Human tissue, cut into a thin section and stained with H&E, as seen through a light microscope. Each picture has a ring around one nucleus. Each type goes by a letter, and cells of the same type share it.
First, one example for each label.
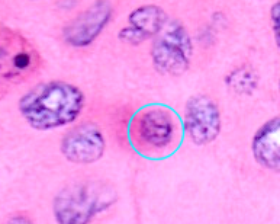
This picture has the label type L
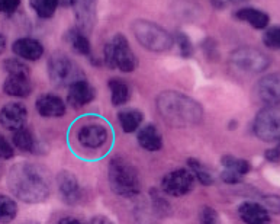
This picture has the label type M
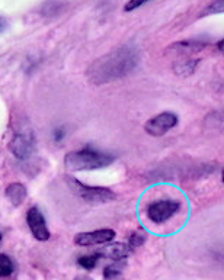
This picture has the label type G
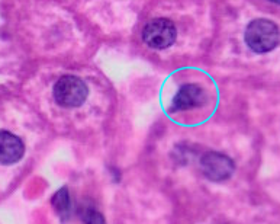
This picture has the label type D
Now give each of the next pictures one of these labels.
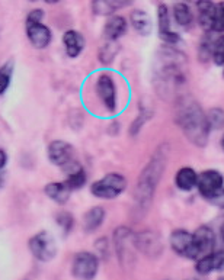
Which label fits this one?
type G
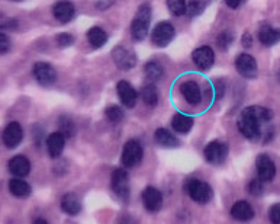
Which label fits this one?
type M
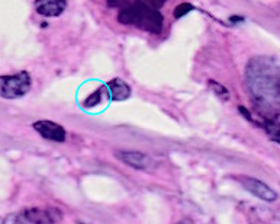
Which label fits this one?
type G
